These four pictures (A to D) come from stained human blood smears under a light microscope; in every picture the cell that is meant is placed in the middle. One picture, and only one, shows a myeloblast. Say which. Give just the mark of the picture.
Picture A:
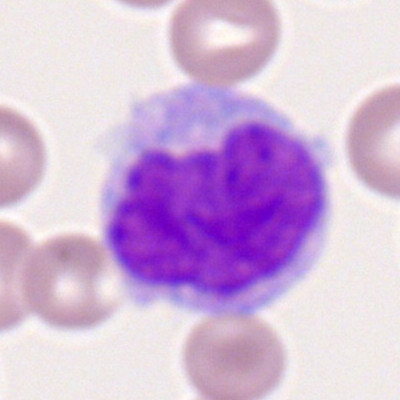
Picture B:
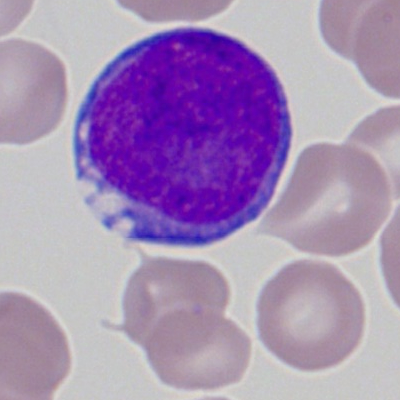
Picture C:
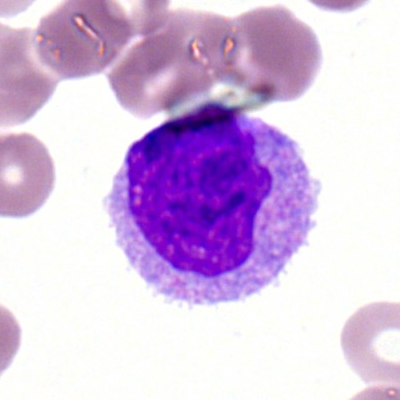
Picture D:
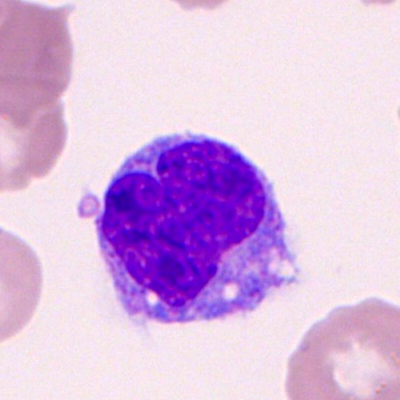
B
